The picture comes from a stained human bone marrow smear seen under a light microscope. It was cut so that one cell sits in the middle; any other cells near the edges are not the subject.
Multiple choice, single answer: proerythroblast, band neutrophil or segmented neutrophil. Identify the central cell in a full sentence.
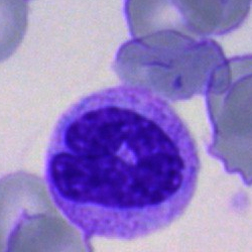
The cell of interest, located centrally, is a band neutrophil.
